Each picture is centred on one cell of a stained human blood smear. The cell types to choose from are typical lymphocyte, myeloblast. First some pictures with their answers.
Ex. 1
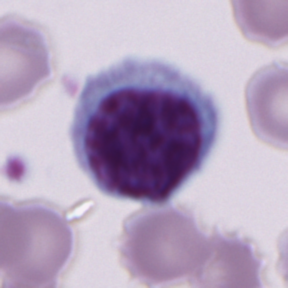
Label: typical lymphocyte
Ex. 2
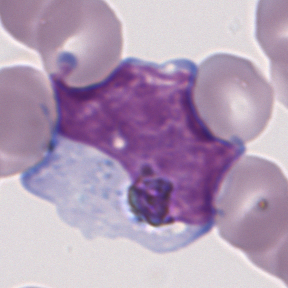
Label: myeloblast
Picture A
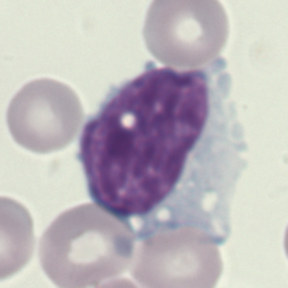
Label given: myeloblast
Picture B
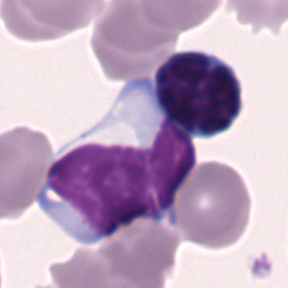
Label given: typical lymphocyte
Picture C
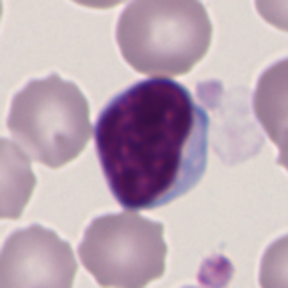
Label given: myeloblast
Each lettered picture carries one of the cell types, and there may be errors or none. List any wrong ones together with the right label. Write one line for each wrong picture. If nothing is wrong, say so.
C: typical lymphocyte, not myeloblast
